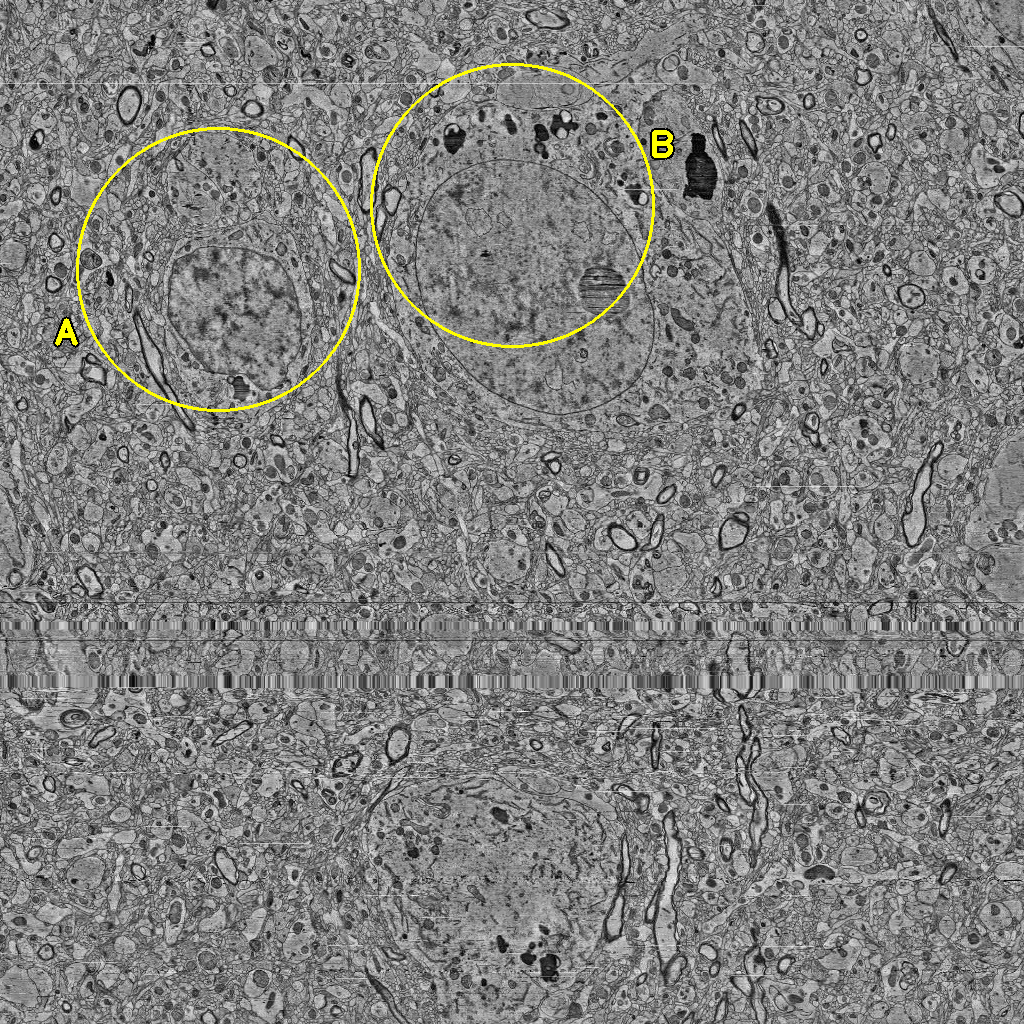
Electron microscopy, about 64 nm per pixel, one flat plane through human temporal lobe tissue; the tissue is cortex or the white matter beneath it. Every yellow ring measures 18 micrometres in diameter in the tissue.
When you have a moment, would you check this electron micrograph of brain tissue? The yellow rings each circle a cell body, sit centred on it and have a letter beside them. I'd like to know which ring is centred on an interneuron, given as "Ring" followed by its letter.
Ring A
